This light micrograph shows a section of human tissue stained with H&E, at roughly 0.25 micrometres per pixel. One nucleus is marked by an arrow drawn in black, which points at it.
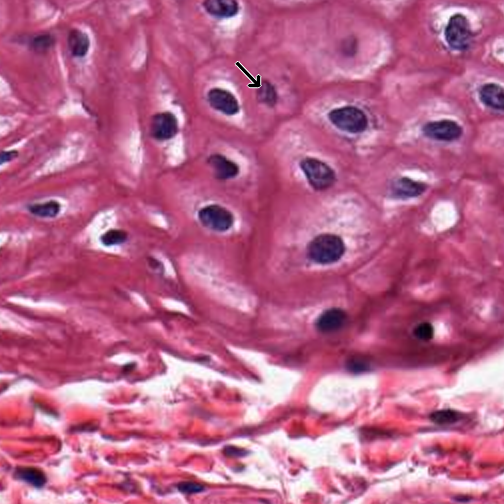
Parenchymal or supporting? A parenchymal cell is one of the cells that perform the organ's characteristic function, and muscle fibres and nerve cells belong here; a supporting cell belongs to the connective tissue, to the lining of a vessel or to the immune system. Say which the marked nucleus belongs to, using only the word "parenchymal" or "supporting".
parenchymal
